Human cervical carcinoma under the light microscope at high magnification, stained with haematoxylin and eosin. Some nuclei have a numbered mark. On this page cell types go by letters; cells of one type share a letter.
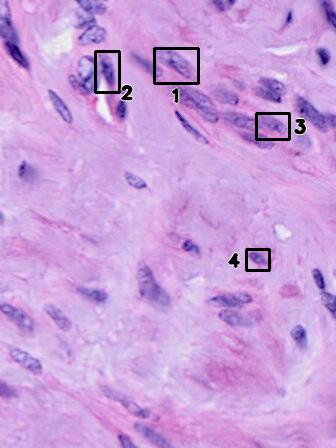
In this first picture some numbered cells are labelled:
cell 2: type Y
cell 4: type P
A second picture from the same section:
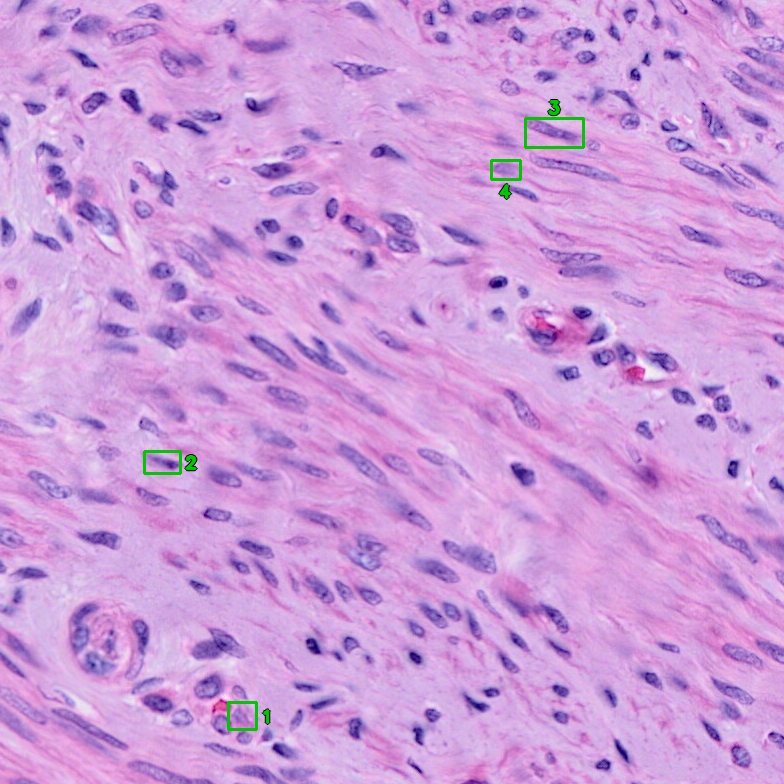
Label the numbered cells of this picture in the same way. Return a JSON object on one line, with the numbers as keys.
{"1": "type Y", "2": "type P", "3": "type P", "4": "type P"}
